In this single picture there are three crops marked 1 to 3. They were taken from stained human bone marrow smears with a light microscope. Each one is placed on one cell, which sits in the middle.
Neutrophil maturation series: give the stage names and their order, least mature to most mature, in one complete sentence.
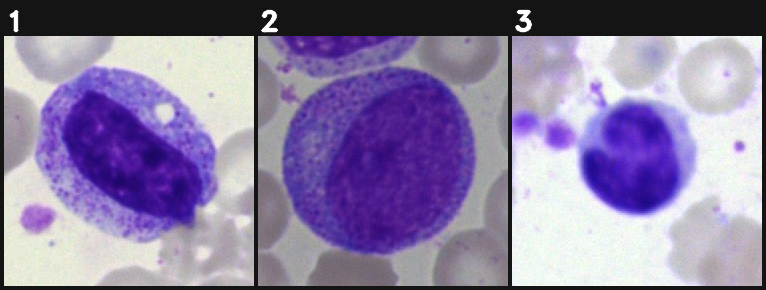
Taken from least mature to most mature, the crops are crop 2 (a promyelocyte), crop 1 (a metamyelocyte) and crop 3 (a band neutrophil).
